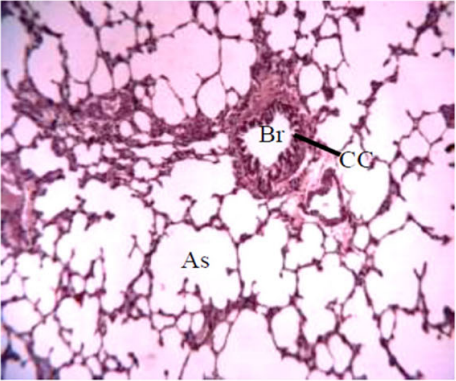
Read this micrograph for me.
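Lung parenchyma with a central bronchiole surrounded by alveoli. The bronchiole is round, lined by a folded epithelium of closely packed cells with purple nuclei, ringed by a thin pink wall. Around it lie many open, polygonal alveolar spaces separated by thin, delicate septa carrying scattered small nuclei. A small amount of looser connective tissue accompanies the bronchiole. Overall architecture is regular and the air spaces dominate the field.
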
